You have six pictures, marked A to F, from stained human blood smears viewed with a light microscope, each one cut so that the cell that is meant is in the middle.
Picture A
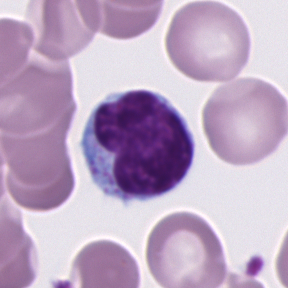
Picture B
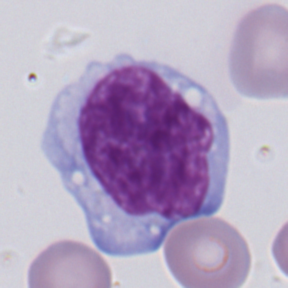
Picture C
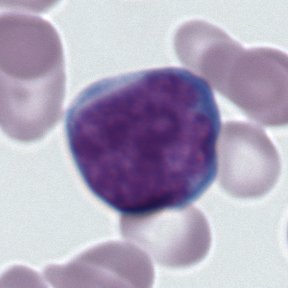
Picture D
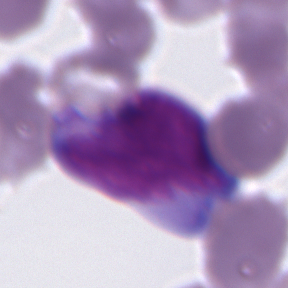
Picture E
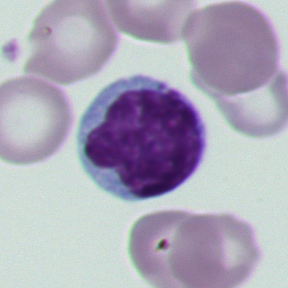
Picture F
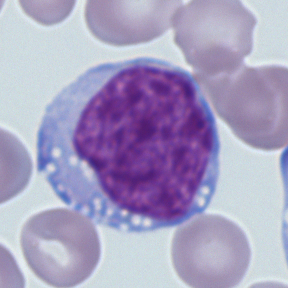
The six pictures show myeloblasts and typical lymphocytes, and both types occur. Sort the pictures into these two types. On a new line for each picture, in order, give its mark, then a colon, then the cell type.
A: typical lymphocyte
B: myeloblast
C: myeloblast
D: myeloblast
E: typical lymphocyte
F: myeloblast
